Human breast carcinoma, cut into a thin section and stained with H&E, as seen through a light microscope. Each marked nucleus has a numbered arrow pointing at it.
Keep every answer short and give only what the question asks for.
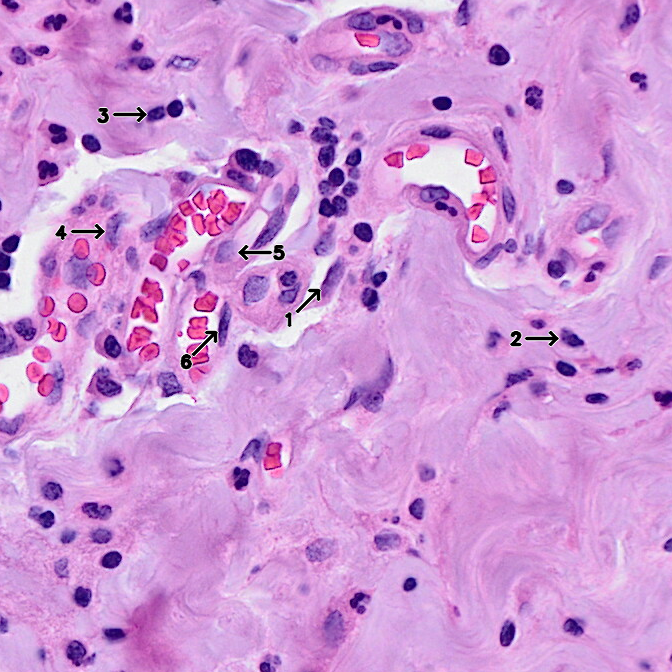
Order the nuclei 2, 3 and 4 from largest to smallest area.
4, 2, 3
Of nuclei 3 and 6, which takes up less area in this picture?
3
